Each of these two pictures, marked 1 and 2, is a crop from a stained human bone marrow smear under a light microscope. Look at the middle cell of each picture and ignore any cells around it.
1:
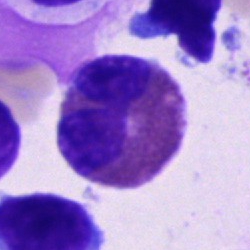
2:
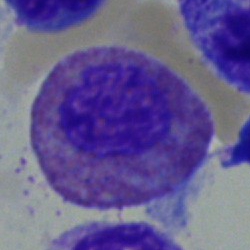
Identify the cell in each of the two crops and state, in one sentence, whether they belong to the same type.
Yes, the two crops both show eosinophils.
